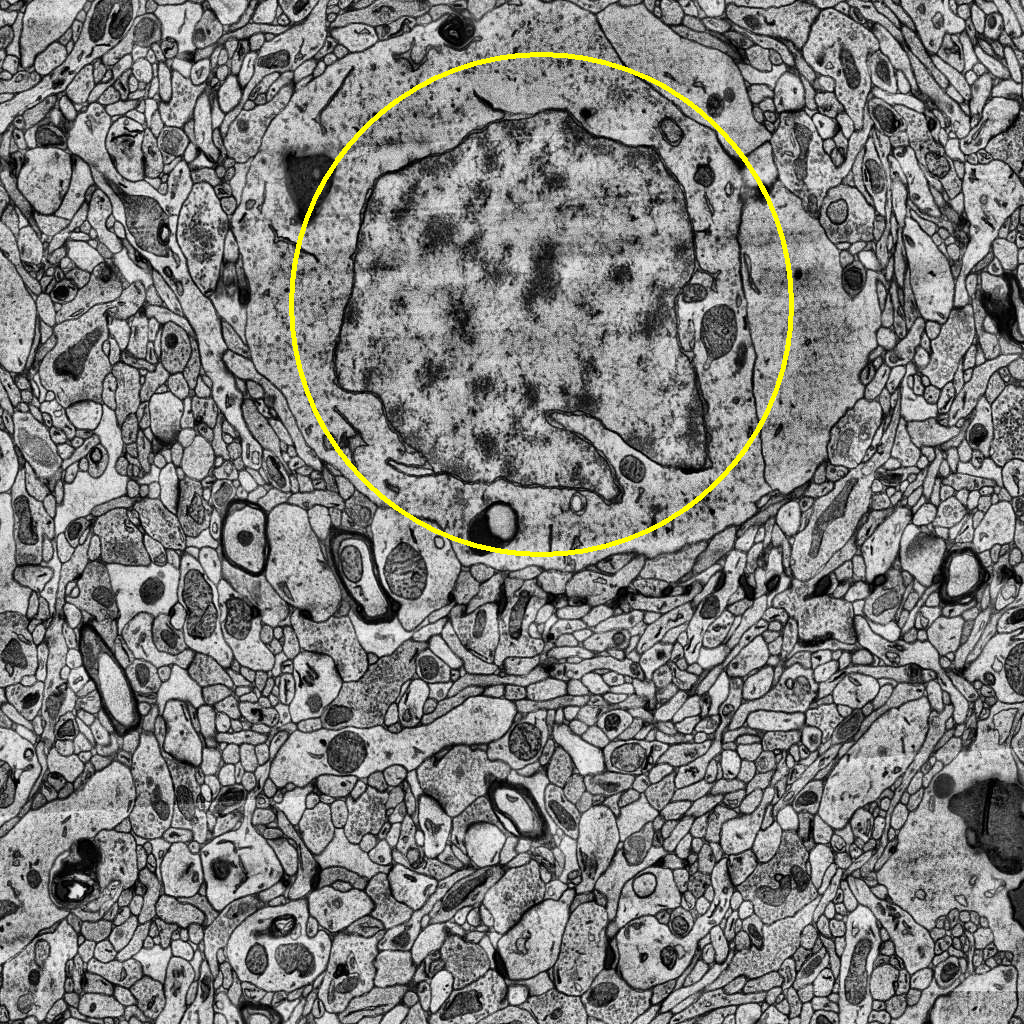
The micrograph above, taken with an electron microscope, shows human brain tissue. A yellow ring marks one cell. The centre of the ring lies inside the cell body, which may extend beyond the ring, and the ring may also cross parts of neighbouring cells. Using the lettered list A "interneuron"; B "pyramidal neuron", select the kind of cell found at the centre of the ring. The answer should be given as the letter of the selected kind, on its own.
A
